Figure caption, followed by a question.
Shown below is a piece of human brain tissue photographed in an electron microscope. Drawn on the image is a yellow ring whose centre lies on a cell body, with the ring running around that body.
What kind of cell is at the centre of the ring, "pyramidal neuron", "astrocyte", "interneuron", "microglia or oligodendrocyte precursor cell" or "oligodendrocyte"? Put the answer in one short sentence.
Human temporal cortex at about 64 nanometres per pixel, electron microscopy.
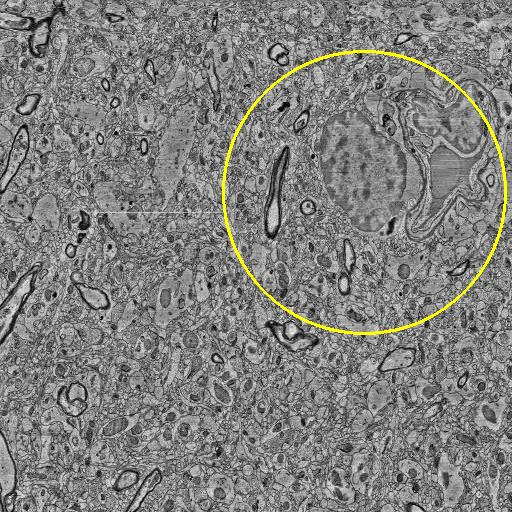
The ring marks the cell body of an oligodendrocyte.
